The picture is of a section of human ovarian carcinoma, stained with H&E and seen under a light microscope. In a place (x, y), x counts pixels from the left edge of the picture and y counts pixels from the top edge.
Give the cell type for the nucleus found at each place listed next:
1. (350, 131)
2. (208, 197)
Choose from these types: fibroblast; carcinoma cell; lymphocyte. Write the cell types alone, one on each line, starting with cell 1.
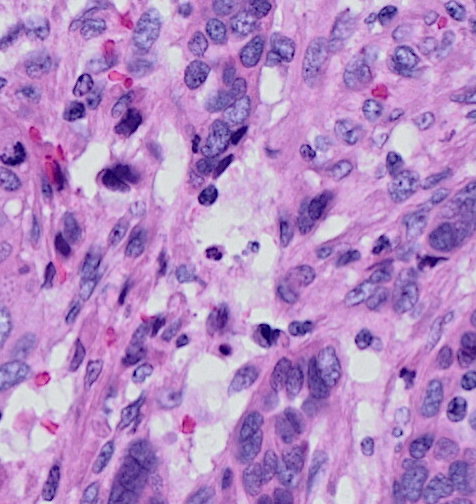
fibroblast
lymphocyte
